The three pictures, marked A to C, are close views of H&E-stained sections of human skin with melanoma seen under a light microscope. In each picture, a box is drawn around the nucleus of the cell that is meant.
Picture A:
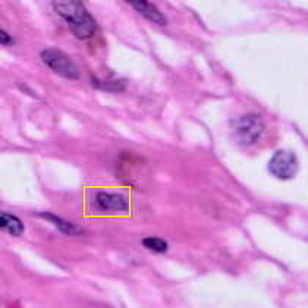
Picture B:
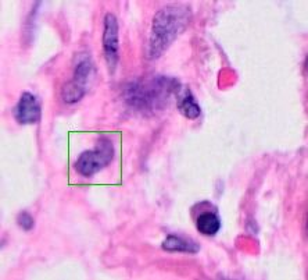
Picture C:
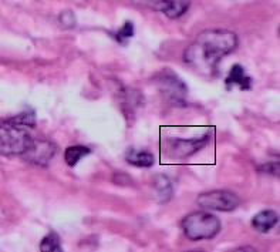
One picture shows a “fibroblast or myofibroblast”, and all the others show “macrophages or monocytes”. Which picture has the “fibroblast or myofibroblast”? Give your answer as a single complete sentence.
The “fibroblast or myofibroblast” is the one in picture C.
